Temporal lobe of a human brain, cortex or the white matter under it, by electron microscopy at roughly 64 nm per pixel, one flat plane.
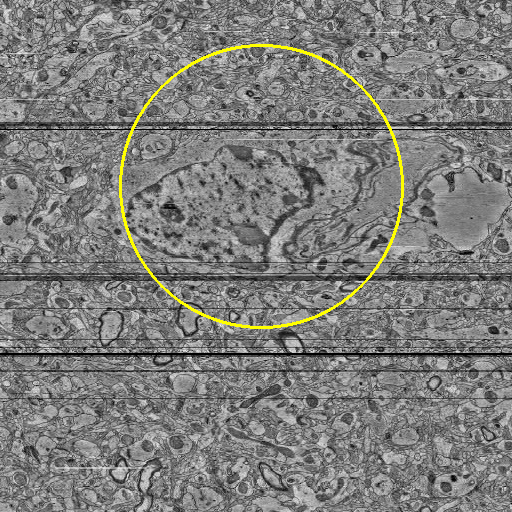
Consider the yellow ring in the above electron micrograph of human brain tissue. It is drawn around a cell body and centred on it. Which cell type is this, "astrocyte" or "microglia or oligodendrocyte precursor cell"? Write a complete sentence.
The cell in question is a microglial cell or oligodendrocyte precursor cell.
